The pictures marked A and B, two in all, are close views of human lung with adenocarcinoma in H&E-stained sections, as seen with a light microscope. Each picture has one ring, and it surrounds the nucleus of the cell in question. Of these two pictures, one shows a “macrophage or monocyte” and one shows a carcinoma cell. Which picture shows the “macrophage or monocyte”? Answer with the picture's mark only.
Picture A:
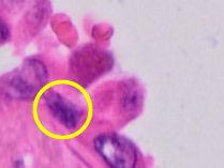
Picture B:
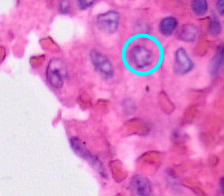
B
